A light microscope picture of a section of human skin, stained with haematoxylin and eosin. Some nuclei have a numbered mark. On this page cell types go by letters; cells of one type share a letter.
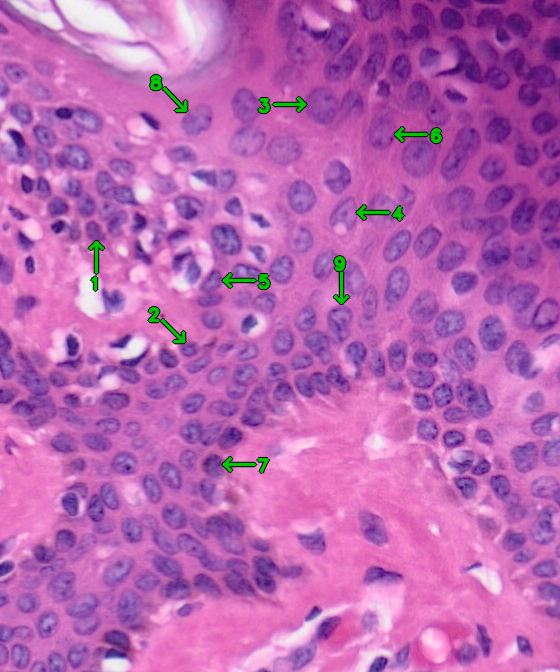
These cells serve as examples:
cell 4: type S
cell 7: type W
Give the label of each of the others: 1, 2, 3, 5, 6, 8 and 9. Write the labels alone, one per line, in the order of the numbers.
type W
type W
type S
type W
type S
type S
type S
